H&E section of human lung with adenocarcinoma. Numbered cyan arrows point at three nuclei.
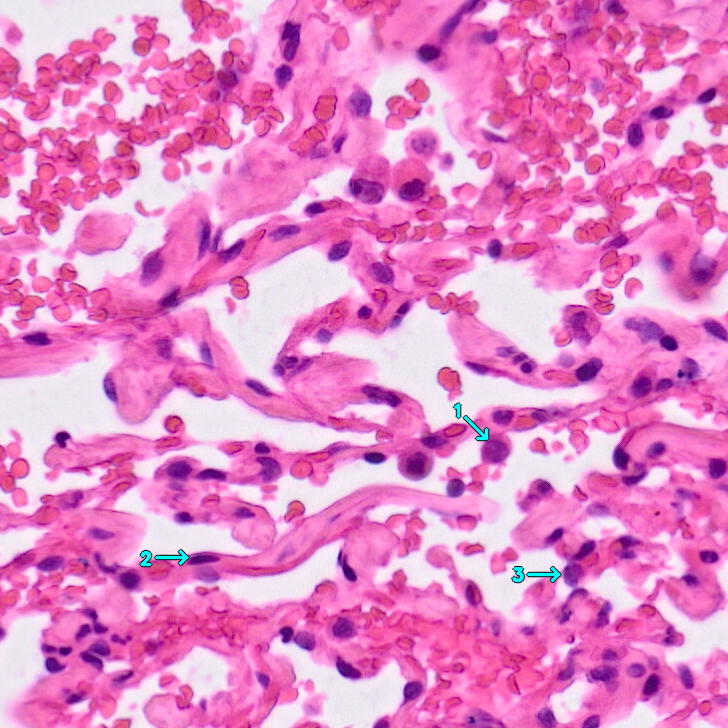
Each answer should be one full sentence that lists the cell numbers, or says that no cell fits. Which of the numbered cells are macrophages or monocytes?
Among the numbered cells, the one that is a macrophage or monocyte is cell 1 alone.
